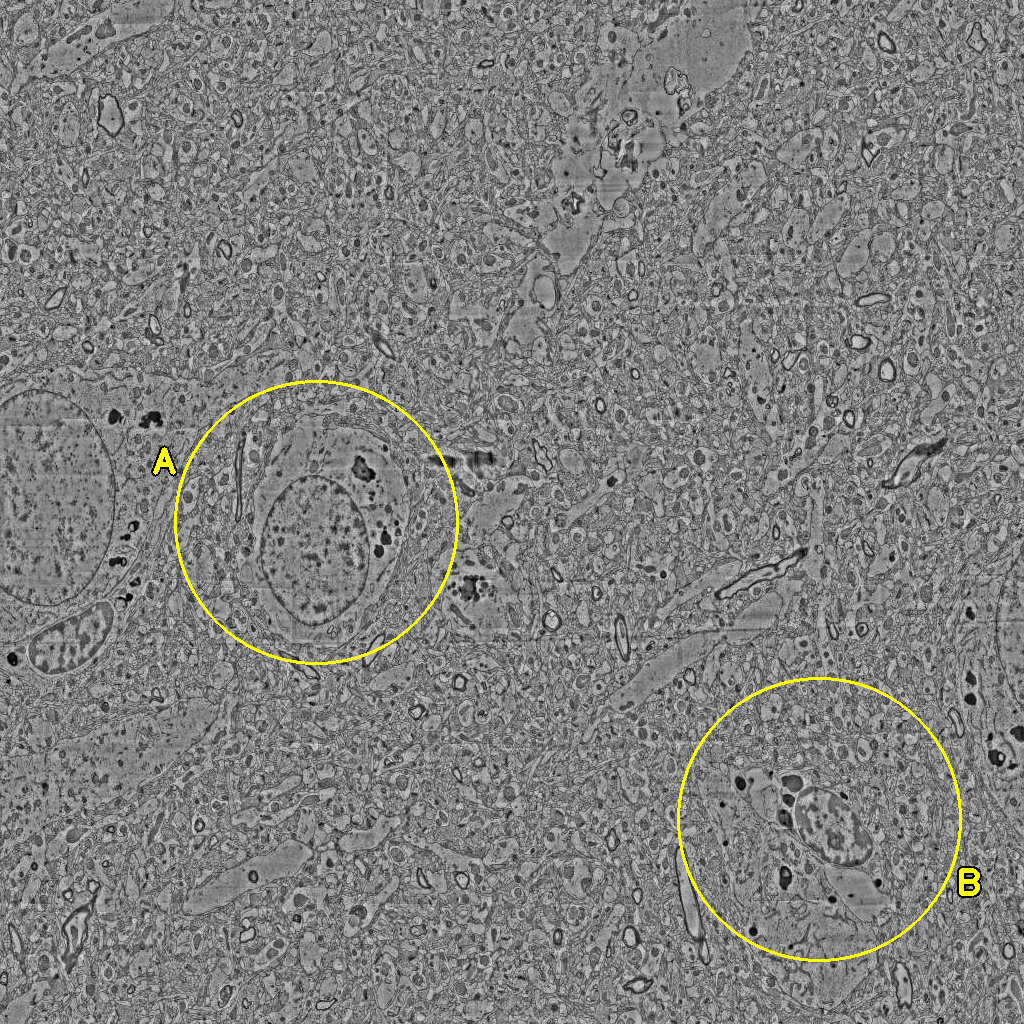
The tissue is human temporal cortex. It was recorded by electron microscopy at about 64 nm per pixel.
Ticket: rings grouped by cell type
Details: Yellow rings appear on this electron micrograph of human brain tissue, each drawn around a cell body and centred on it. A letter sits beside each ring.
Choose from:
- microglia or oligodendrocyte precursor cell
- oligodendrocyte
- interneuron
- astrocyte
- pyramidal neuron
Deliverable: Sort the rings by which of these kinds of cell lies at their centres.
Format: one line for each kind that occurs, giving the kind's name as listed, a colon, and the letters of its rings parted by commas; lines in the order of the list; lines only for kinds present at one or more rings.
microglia or oligodendrocyte precursor cell: B
astrocyte: A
